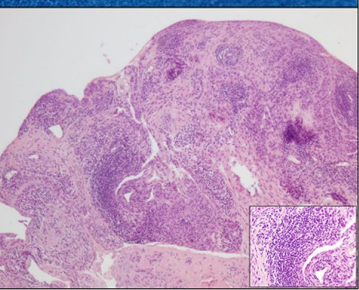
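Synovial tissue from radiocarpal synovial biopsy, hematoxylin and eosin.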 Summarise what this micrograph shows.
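The fragment is a broad, compact mass of pink connective tissue with a lobulated surface. Scattered through it are rounded, darker purple zones where small round nuclei are densely crowded, forming nodular aggregates. Some aggregates lie around small vessels. In the enlarged inset at the lower right, a sheet of small, uniform, closely packed round dark nuclei with little cytoplasm is seen next to a thin vascular space.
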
